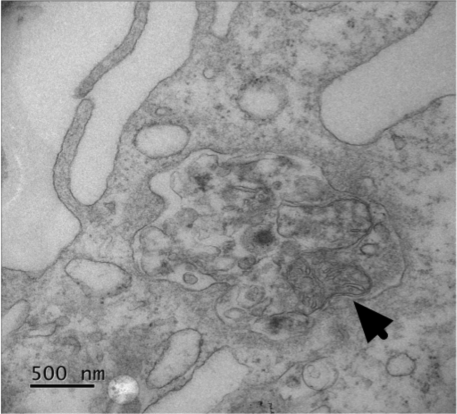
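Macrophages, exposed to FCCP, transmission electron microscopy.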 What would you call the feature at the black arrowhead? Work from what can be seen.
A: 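The arrowhead points to a membrane-bounded compartment in the cytoplasm. The compartment encloses a denser organelle profile with internal membranes.
Conclusion: double membrane containing vacuoles containing mitochondria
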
